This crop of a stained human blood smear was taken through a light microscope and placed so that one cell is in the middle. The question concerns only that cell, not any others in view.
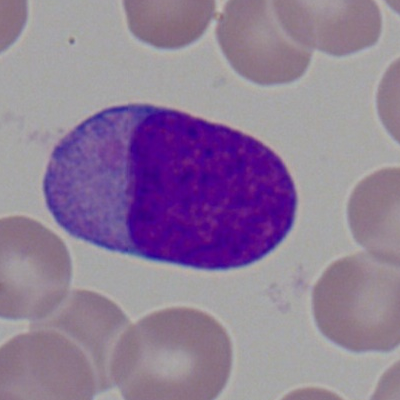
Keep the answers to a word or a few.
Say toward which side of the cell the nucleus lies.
right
